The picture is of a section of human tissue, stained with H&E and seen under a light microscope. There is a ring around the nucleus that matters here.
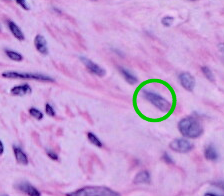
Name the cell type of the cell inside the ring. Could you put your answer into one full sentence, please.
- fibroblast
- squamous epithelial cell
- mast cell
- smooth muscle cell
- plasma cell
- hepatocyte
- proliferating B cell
In this preparation, the cell inside the ring is a smooth muscle cell.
